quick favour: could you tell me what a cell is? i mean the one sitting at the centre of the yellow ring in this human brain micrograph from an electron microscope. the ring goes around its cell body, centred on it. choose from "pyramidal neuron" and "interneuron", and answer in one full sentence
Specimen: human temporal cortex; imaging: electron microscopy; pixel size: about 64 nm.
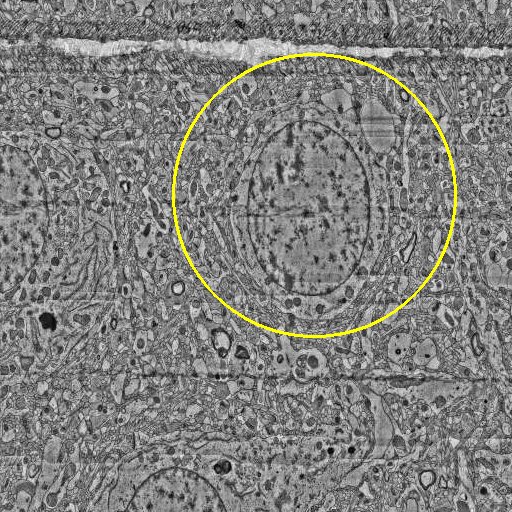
That's a pyramidal neuron, the cell sitting at the centre of the yellow ring.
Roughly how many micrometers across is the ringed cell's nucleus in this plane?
In this plane, the nucleus is roughly 11 by 8 micrometres.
